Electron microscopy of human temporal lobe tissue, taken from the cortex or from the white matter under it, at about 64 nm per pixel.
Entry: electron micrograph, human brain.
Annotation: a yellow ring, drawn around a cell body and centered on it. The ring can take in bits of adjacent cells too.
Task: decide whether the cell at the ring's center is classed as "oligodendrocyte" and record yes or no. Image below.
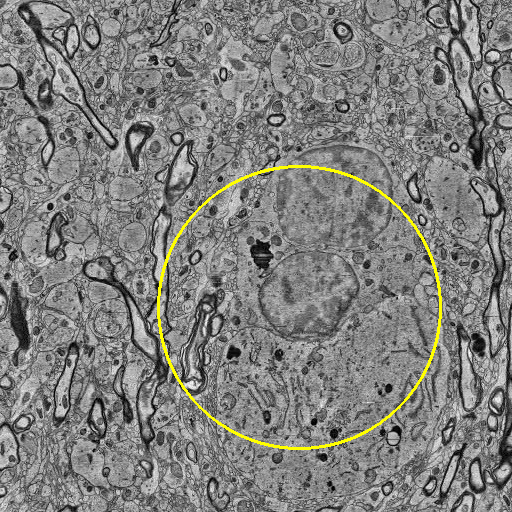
yes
